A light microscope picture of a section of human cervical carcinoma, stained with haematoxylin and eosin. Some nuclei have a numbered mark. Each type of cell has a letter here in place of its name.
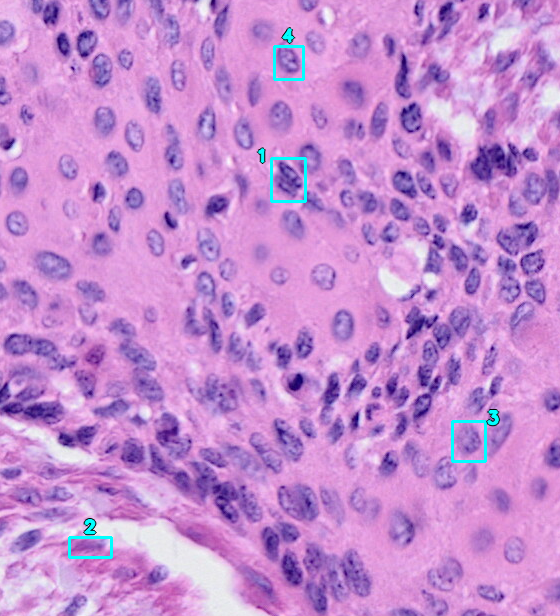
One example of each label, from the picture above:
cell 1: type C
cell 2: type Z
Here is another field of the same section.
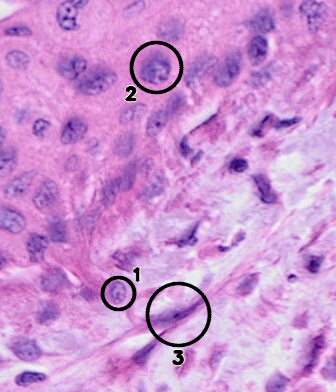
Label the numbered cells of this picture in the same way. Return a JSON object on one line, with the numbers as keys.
{"1": "type Z", "2": "type C", "3": "type Z"}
